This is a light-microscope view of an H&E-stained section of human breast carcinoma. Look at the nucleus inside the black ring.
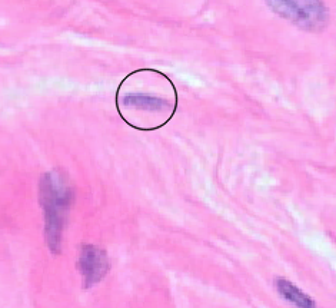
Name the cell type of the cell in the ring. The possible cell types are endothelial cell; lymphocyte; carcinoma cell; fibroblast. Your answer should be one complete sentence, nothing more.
Labelled by cell type, the cell in the ring is a fibroblast.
